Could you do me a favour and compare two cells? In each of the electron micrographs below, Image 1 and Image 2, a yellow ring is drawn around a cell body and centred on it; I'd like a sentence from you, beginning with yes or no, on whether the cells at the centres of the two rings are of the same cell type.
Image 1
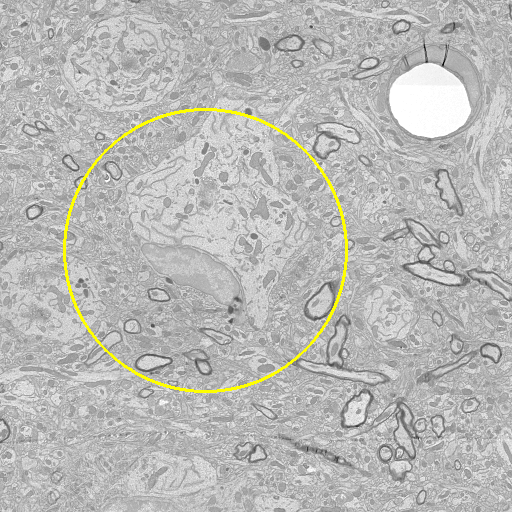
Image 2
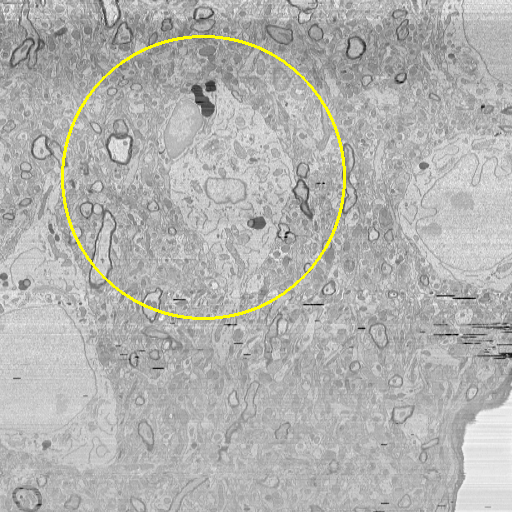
Yes, the two cells are of the same cell type.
